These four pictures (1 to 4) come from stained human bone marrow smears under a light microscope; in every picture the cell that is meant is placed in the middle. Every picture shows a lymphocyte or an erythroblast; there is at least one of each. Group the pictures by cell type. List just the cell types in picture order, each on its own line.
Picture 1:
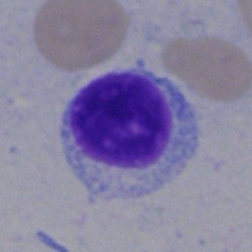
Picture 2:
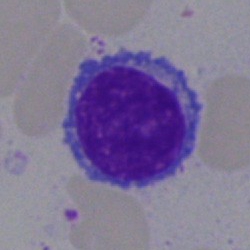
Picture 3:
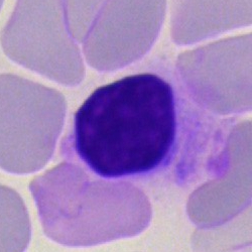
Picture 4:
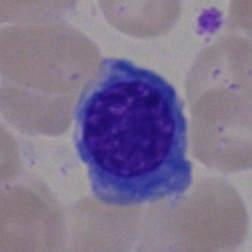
lymphocyte
lymphocyte
lymphocyte
erythroblast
